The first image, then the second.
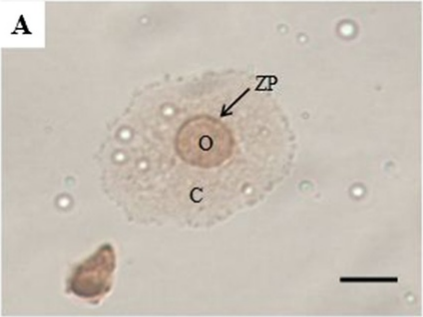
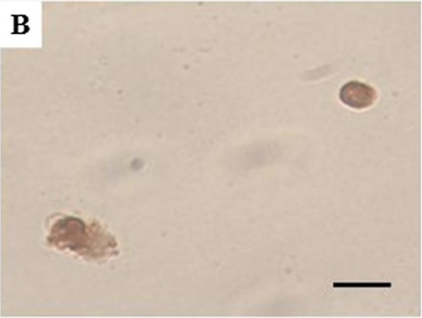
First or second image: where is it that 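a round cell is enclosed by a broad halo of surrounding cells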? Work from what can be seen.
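Second image: a small round brown structure lies alone without a surrounding cell layer. That points to this answer: the first image.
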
